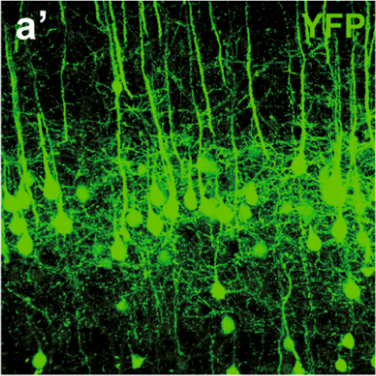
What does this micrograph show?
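Cerebral cortex with layer V pyramidal neurons filled by green fluorescence on a dark background. The cell bodies are triangular and stand in a loose band across the middle of the field, their apexes pointing upward. From each apex a long, thick dendrite runs straight toward the top edge, so that many dendrites lie parallel like a palisade. Thinner branches leave the somata sideways and downward, and a dense mesh of fine green processes fills the space between the cells. Smaller, fainter somata lie lower in the field. Nuclei are not visible as separate structures, as the fluorescence fills the whole cytoplasm.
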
